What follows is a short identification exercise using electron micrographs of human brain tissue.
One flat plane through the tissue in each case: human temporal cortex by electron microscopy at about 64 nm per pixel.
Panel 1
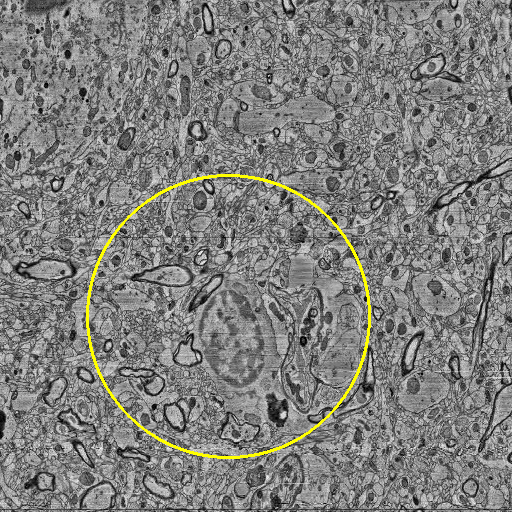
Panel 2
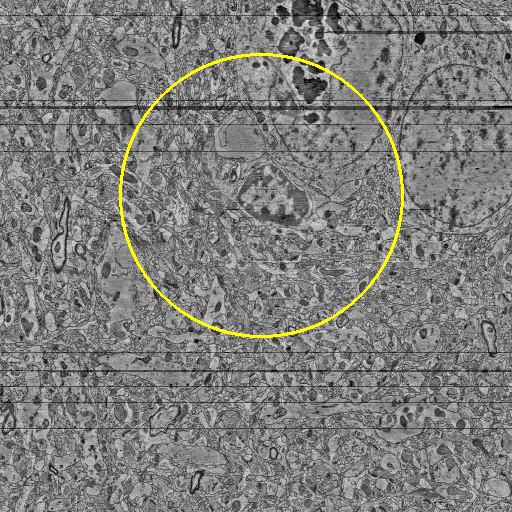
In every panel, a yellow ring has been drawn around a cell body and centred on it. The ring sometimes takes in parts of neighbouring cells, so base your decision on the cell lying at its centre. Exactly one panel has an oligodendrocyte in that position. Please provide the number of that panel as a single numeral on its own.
1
